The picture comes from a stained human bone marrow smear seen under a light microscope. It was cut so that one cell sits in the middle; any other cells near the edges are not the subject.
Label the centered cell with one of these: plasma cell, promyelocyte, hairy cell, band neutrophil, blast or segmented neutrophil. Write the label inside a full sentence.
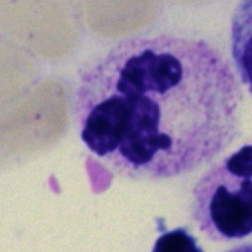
The crop centres on a single cell, and that cell is a segmented neutrophil.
